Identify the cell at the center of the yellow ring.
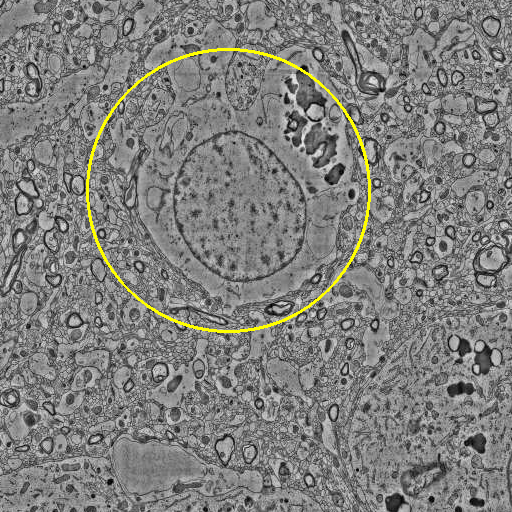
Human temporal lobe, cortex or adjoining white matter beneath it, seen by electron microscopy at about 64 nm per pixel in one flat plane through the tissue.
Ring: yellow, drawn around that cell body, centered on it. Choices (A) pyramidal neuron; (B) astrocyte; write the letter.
B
